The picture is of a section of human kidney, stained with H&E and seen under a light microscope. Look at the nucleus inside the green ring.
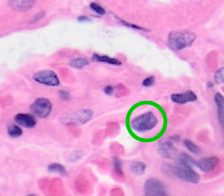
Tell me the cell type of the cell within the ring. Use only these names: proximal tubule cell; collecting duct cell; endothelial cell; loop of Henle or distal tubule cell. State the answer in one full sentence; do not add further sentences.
To be brief about it, the cell within the ring is an endothelial cell.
